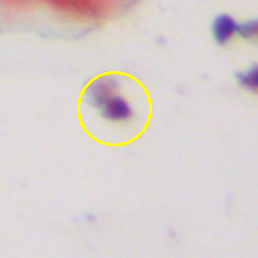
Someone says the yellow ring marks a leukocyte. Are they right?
They are right: it is a leukocyte.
